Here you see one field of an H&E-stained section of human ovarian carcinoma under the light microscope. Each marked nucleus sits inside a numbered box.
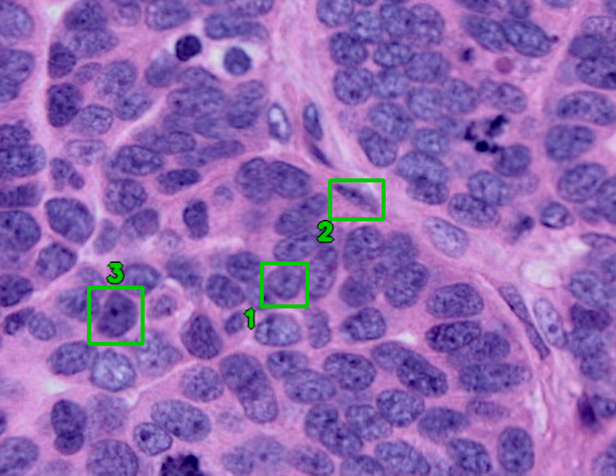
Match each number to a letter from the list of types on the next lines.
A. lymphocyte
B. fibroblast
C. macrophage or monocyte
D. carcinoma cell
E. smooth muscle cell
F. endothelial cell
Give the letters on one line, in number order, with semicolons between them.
D; B; D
